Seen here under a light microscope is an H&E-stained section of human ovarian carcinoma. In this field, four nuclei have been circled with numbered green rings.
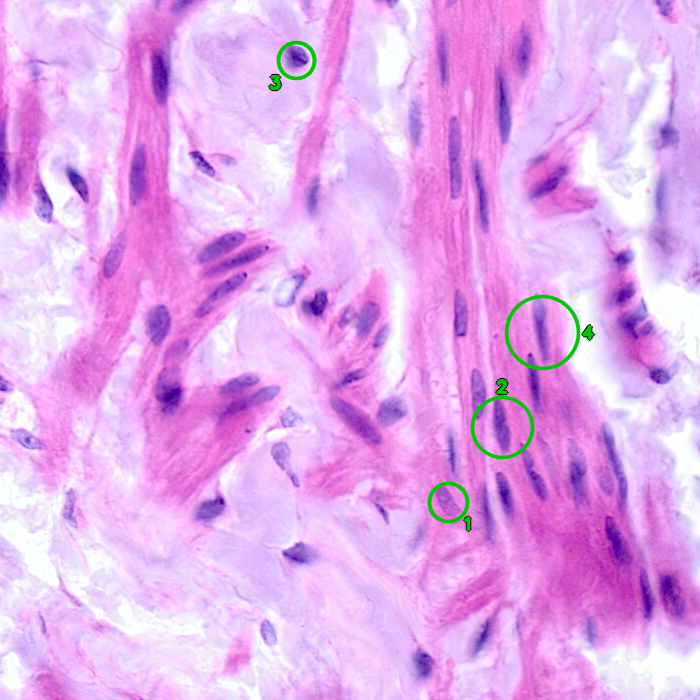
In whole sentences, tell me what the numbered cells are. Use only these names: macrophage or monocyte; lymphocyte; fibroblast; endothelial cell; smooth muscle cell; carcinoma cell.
Cells 1, 2 and 4 are smooth muscle cells. Cell 3 is a fibroblast.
